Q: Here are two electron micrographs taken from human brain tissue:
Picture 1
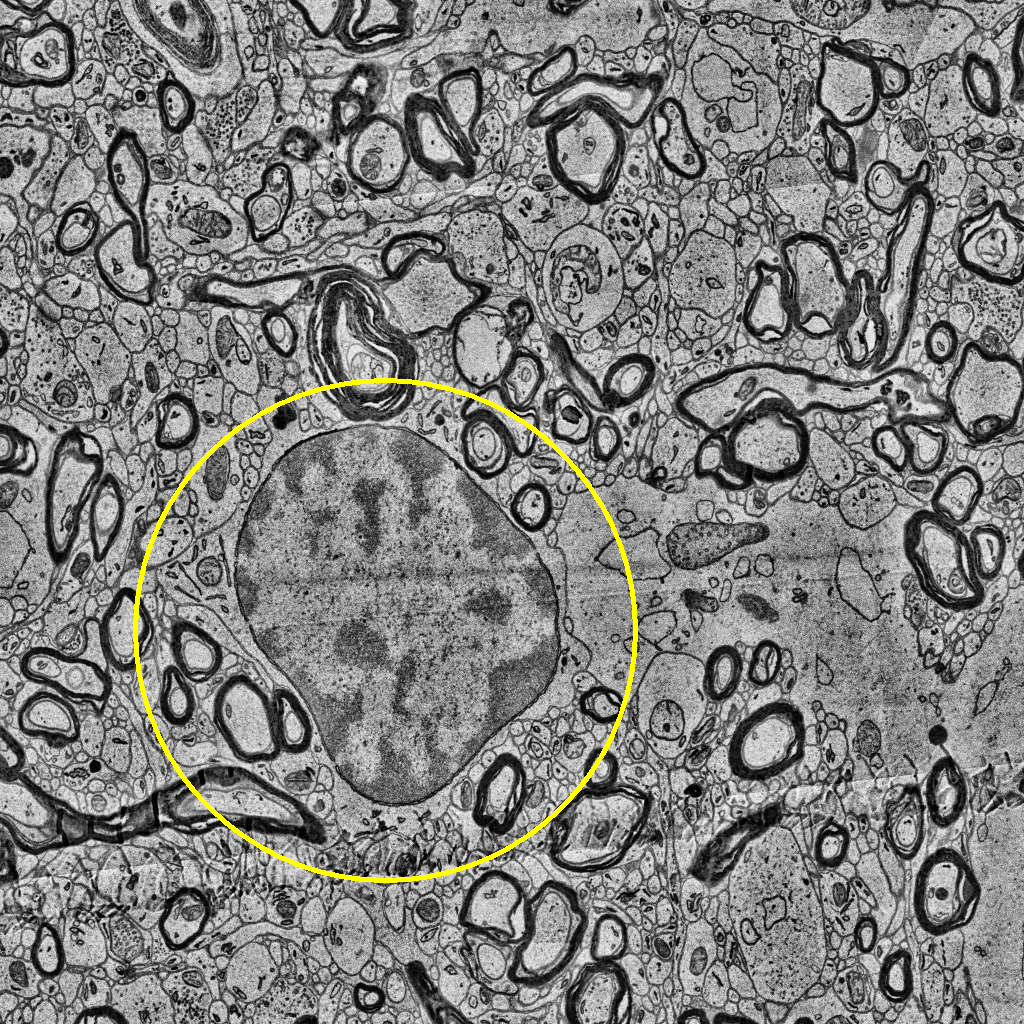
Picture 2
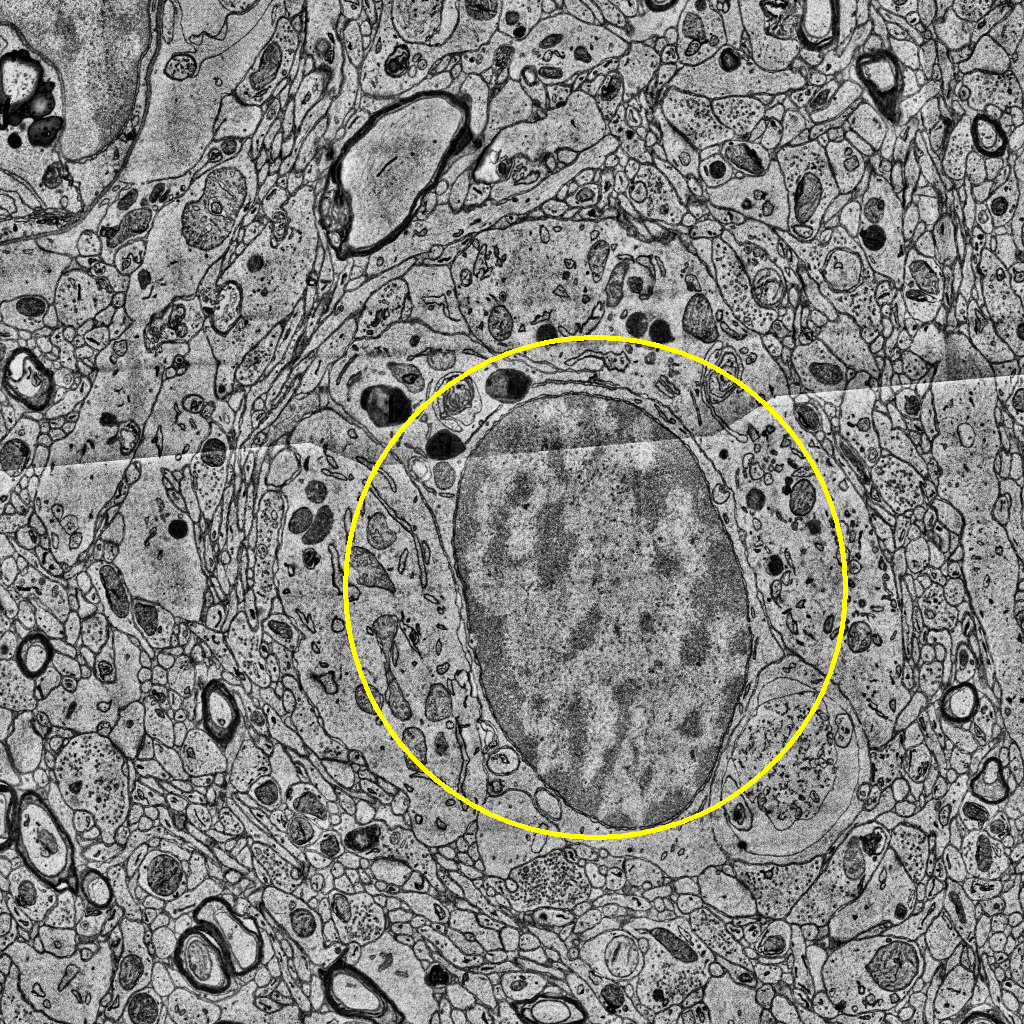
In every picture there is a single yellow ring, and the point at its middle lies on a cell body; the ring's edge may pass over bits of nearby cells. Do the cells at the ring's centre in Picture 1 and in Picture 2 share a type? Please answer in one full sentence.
Yes, the cells at the ring's centre in Picture 1 and Picture 2 share a type.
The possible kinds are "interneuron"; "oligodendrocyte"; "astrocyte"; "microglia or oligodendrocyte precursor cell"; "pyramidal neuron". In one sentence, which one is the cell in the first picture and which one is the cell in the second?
The first and the second cell are each a microglial cell or oligodendrocyte precursor cell.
